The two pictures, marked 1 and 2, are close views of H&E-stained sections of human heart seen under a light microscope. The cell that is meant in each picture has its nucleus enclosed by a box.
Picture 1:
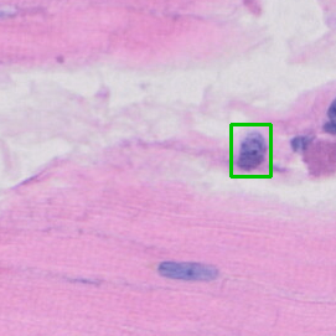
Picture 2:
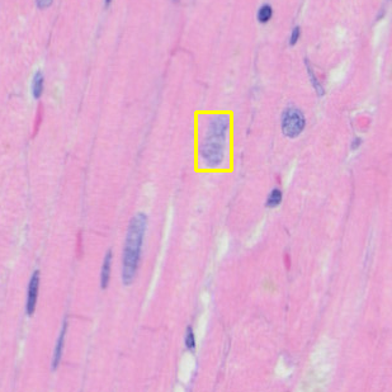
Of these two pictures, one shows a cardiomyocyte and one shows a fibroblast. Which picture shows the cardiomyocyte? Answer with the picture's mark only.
2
